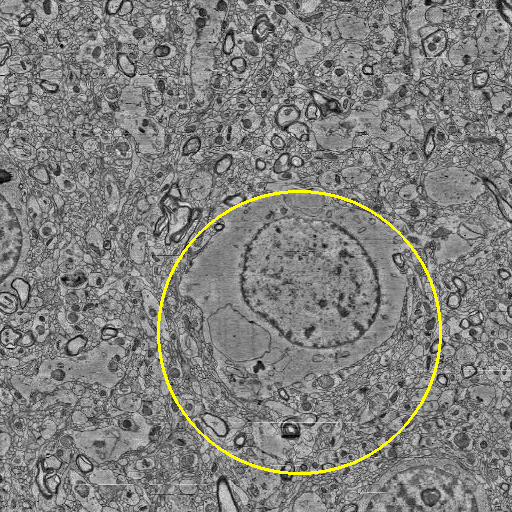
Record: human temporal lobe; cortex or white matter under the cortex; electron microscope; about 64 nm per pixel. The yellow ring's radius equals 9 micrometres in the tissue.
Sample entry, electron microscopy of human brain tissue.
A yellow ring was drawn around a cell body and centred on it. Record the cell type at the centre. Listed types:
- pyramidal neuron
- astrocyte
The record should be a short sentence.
The cell at the ring's centre is an astrocyte.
